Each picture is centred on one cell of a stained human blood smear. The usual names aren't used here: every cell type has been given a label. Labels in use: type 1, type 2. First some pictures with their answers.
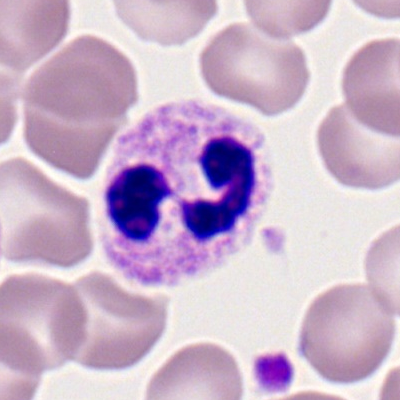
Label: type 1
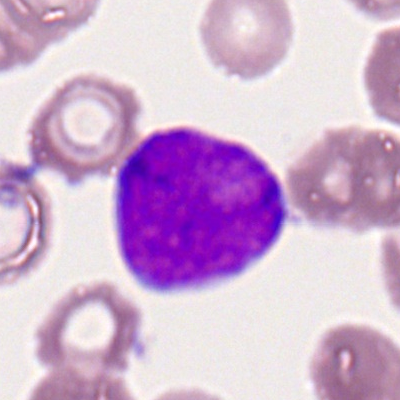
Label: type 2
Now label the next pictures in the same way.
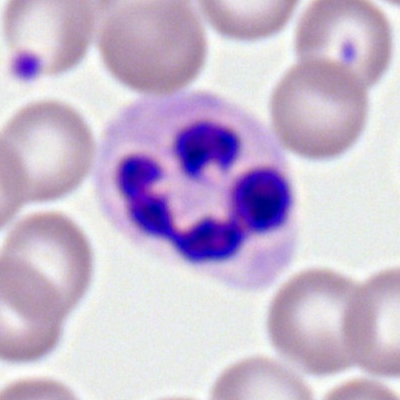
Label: type 1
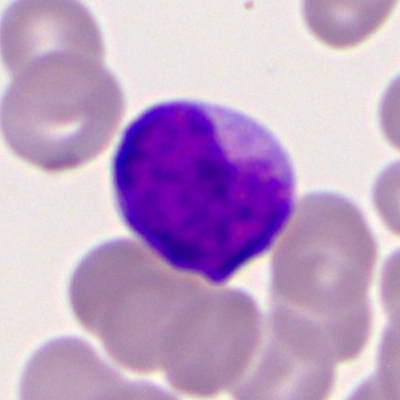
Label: type 2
